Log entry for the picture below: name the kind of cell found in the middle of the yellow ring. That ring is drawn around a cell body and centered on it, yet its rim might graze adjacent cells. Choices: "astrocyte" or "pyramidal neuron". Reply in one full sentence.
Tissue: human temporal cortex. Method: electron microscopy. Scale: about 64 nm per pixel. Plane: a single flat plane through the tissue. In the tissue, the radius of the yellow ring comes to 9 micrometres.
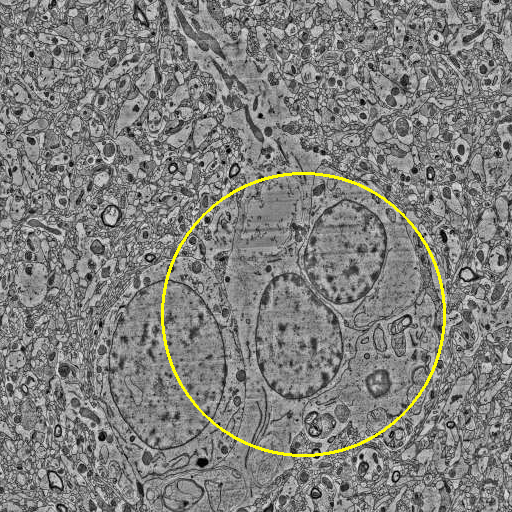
The cell in the middle of the yellow ring in this picture is an astrocyte.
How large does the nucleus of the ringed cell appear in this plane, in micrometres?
Roughly 8 micrometres by 6 micrometres, in this plane.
